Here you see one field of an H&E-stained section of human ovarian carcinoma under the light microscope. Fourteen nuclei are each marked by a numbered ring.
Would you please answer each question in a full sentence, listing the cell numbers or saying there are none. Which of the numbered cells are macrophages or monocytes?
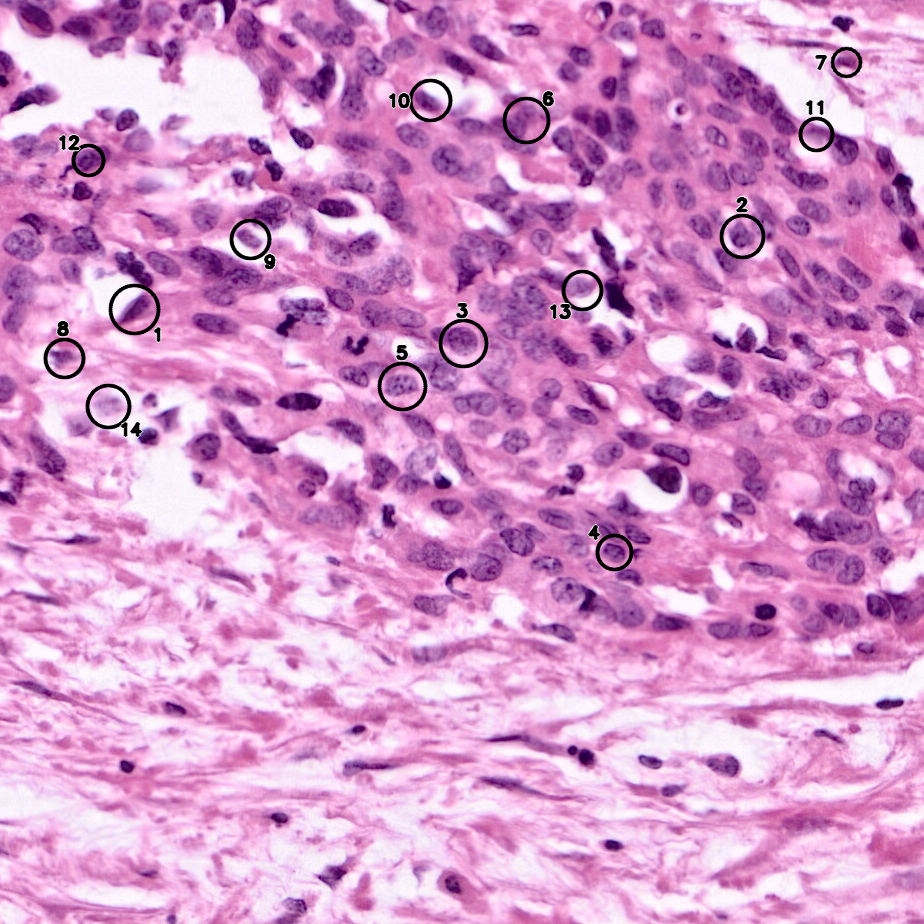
The cells carrying the numbers 2, 4 and 5 are macrophages or monocytes.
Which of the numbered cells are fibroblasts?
The numbers 7, 8 and 14 refer to cells that are fibroblasts.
